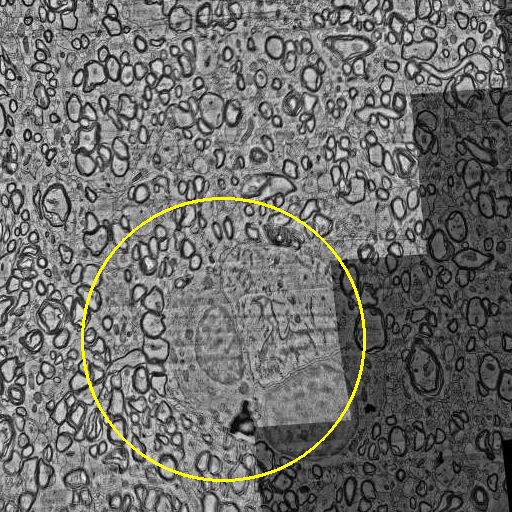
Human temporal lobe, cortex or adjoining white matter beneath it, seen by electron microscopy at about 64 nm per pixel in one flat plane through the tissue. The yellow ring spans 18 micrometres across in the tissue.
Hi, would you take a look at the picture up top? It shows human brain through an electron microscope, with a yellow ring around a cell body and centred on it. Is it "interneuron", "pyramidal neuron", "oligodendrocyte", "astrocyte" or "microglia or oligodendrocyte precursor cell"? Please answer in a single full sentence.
The best fit for the cell in the middle of the ring is an oligodendrocyte, I reckon.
